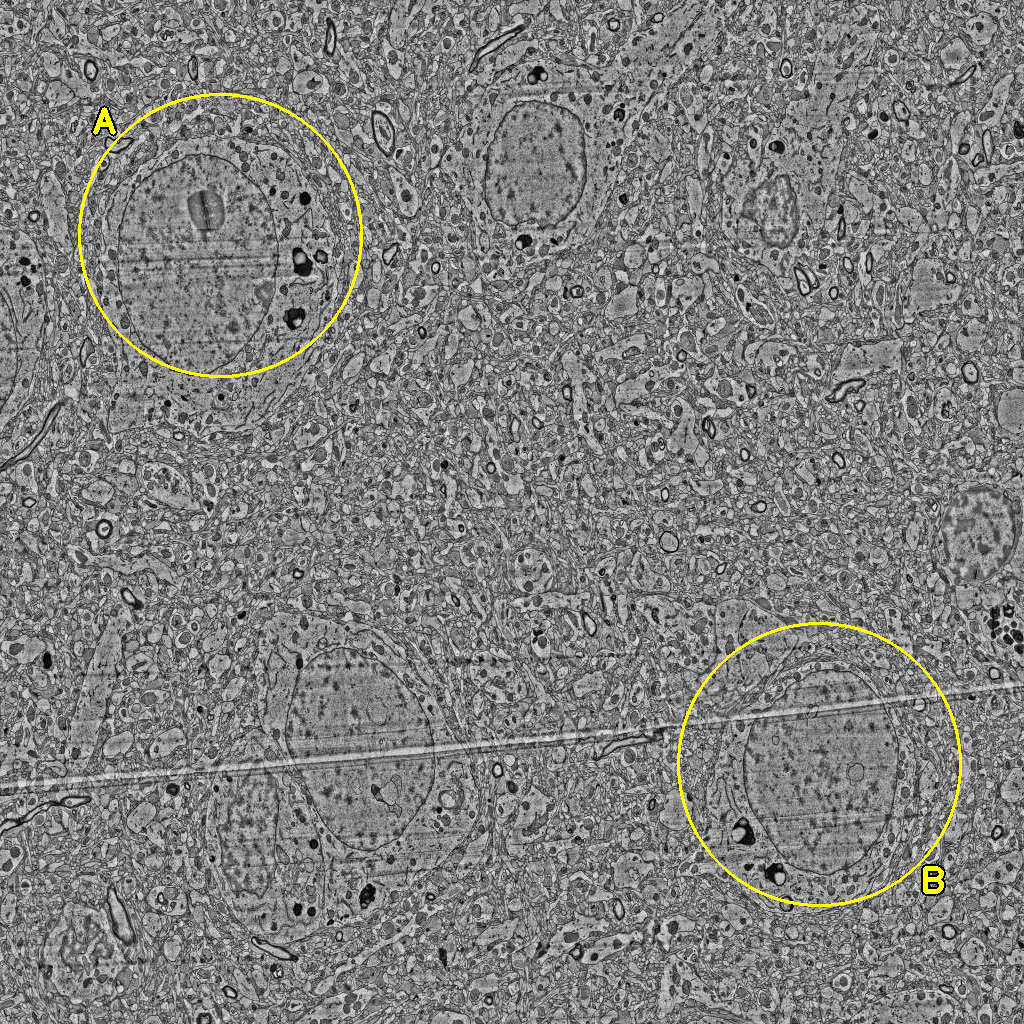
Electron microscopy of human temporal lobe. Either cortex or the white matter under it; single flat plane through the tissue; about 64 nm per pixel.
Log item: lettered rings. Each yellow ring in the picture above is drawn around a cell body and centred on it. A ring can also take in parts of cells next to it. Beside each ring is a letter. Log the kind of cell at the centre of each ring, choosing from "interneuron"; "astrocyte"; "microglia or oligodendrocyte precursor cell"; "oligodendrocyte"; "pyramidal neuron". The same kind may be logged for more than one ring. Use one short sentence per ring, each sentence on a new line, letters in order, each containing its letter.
Within ring A, the centre is taken by a pyramidal neuron.
Within ring B, the centre is taken by a pyramidal neuron.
